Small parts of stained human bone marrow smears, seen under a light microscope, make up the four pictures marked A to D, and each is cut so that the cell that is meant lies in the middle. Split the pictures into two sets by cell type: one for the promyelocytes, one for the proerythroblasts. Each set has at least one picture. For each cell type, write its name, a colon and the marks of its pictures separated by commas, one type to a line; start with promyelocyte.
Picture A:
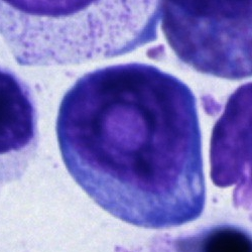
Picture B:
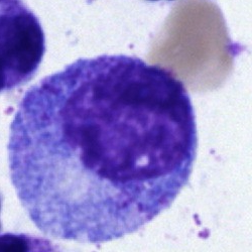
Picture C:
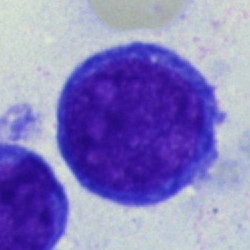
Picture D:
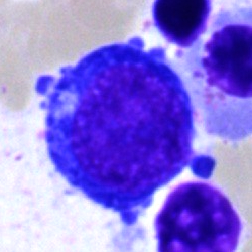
promyelocyte: B
proerythroblast: A, C, D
